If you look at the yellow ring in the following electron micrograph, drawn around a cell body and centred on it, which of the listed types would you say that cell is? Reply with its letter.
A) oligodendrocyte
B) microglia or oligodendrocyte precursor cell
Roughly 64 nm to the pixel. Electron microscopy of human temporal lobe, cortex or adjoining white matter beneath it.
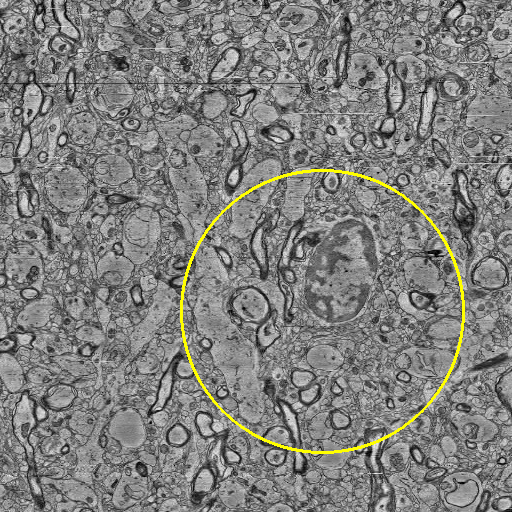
B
